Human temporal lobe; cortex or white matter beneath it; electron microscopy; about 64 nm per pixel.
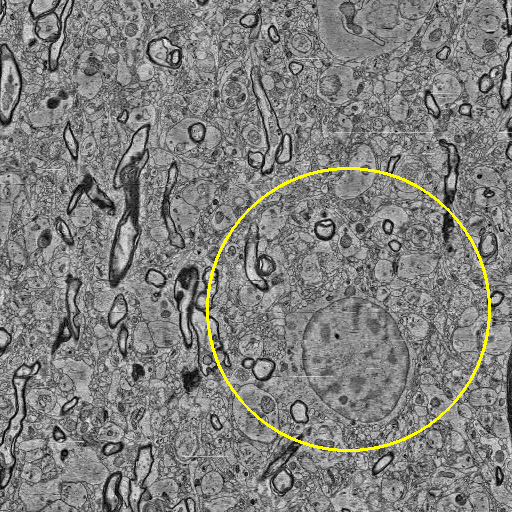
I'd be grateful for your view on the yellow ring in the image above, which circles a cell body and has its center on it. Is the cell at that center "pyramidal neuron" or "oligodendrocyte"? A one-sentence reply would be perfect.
The cell at the center of the yellow ring is an oligodendrocyte.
